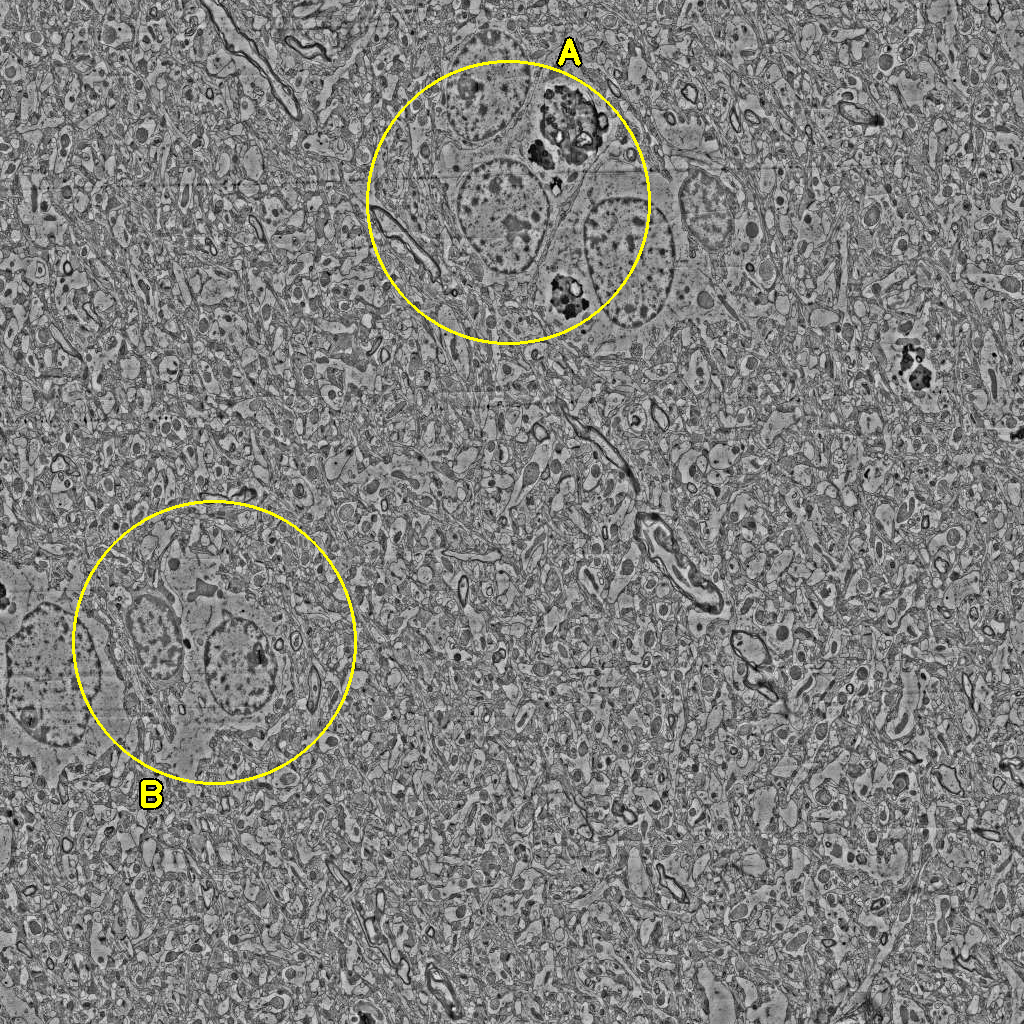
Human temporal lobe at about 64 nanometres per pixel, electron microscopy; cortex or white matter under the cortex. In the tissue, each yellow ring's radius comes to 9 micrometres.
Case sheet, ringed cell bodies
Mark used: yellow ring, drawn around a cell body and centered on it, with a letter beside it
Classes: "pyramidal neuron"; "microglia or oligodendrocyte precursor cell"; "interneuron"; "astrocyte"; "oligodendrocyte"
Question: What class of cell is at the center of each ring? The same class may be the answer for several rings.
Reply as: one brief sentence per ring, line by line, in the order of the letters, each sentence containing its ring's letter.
Ring A has an astrocyte at its center.
Ring B has an astrocyte at its center.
